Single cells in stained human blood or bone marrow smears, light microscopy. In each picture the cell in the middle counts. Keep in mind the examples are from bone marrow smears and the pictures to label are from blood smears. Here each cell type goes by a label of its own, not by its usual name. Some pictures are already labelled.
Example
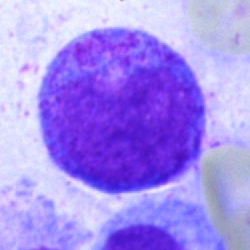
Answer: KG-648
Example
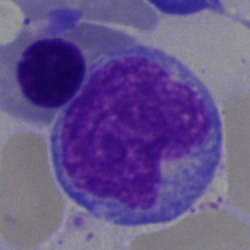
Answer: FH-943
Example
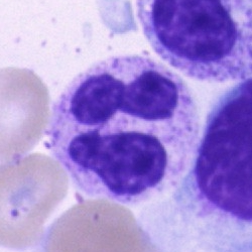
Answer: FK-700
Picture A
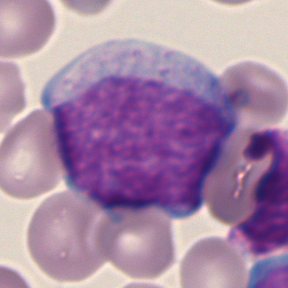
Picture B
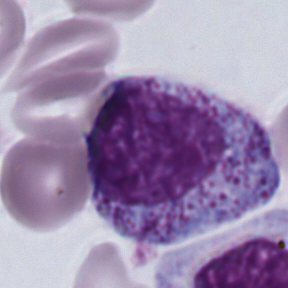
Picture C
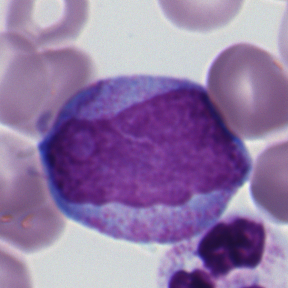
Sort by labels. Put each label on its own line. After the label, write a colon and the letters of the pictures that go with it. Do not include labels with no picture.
KG-648: A, B, C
